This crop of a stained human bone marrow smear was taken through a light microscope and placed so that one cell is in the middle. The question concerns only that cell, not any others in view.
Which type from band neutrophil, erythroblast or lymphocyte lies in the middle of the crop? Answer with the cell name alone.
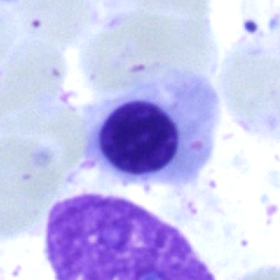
erythroblast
